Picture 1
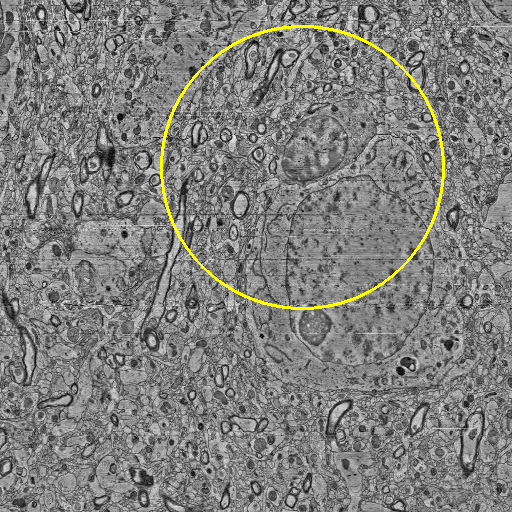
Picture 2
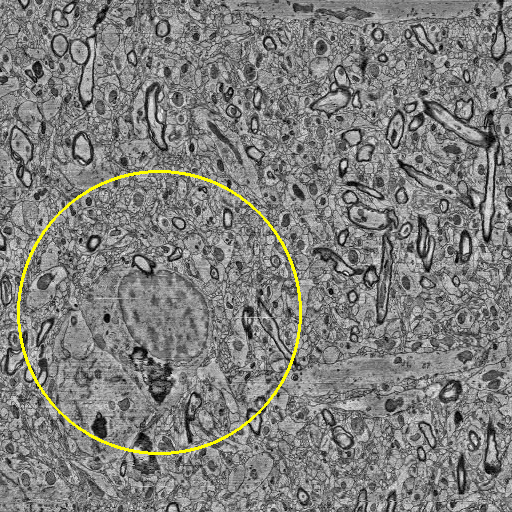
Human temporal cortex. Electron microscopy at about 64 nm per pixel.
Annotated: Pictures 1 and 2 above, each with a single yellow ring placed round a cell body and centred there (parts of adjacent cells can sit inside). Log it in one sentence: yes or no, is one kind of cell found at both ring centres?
Yes, the ring centres of the two pictures hold cells of one kind.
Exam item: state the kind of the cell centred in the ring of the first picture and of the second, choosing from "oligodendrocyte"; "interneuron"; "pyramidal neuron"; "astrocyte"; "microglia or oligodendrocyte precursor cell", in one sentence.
Each of the two cells is an oligodendrocyte.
